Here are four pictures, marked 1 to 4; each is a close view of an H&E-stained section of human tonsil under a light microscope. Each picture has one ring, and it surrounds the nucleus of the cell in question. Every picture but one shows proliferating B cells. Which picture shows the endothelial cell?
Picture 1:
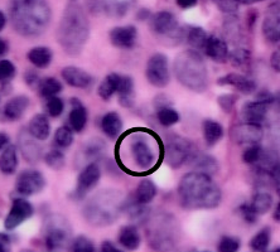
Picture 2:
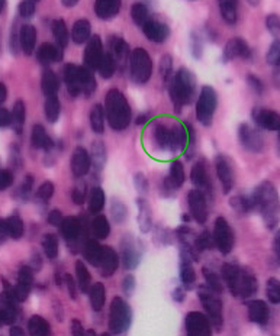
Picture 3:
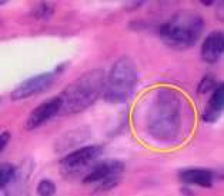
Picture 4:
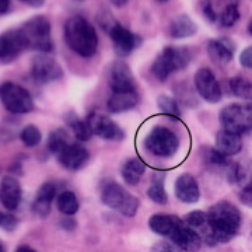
3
